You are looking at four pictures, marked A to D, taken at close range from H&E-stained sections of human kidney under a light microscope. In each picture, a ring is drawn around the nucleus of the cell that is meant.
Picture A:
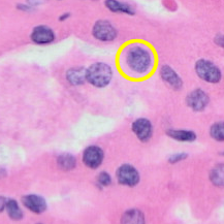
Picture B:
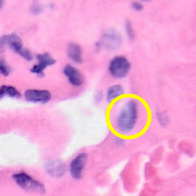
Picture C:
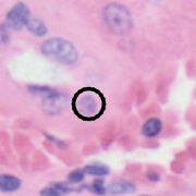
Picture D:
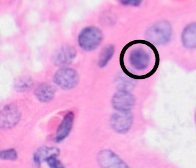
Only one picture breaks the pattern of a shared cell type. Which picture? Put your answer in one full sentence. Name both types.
Unlike the rest, which show collecting duct cells, picture A shows a “loop of Henle or distal tubule cell”.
